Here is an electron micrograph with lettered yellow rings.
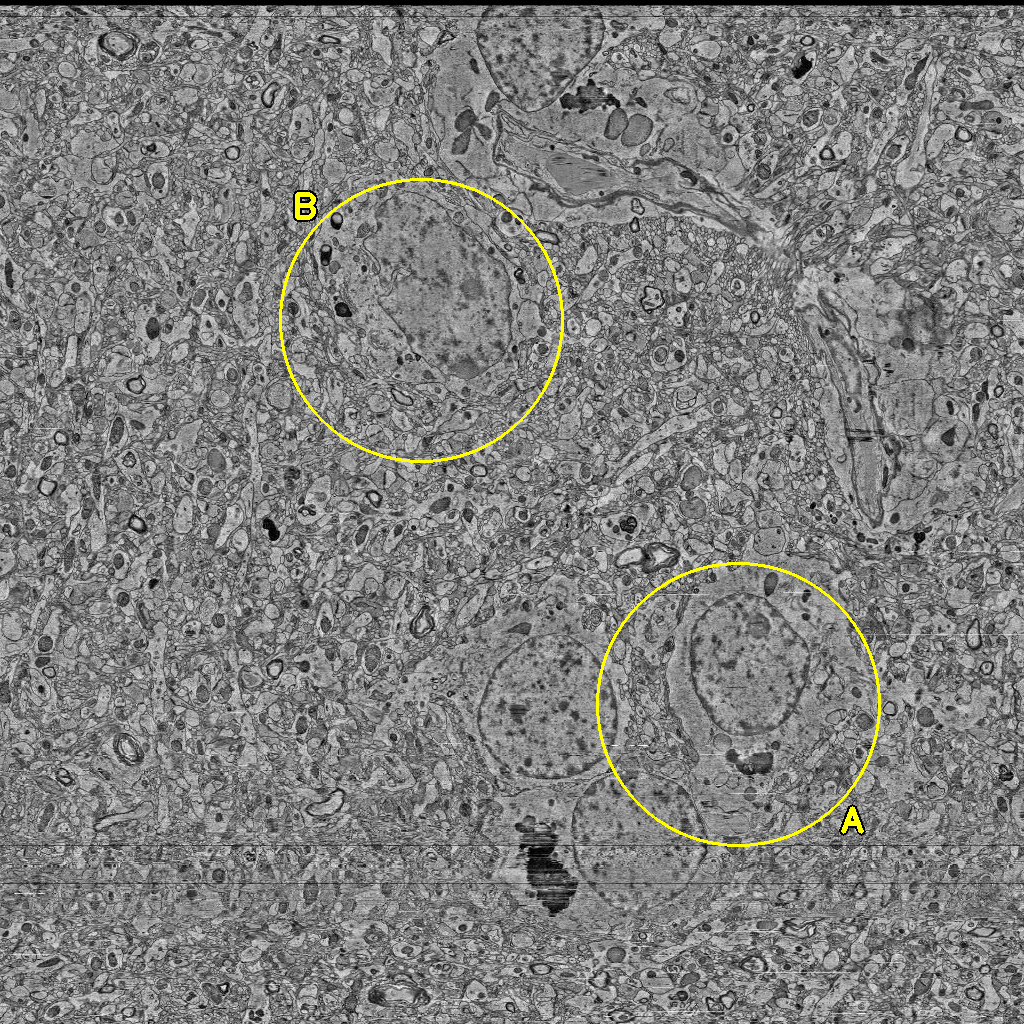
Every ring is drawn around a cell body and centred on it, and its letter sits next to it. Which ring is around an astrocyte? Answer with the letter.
A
